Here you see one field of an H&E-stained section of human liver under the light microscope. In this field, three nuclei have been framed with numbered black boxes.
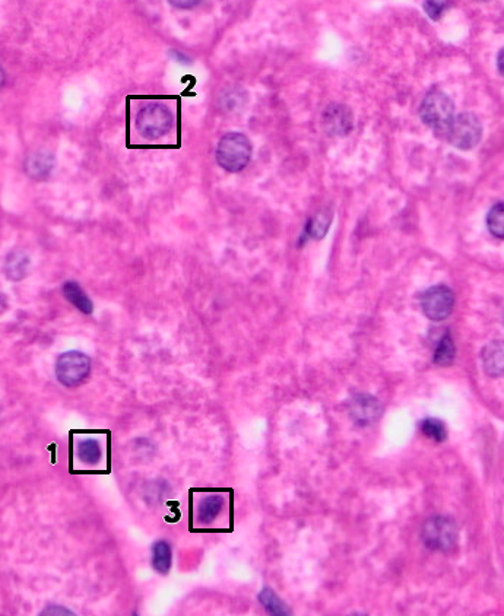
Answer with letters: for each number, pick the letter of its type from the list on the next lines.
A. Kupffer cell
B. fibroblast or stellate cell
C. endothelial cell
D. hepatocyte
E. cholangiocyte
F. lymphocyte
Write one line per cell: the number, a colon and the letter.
1: F
2: D
3: B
